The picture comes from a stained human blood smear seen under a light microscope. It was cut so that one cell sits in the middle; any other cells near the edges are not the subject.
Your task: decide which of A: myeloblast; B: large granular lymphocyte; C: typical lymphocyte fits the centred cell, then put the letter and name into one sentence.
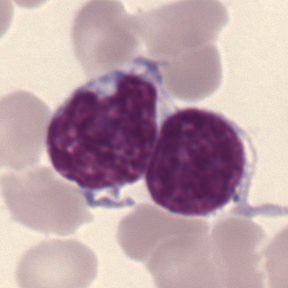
The cell in the middle is a myeloblast, so option A is correct.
